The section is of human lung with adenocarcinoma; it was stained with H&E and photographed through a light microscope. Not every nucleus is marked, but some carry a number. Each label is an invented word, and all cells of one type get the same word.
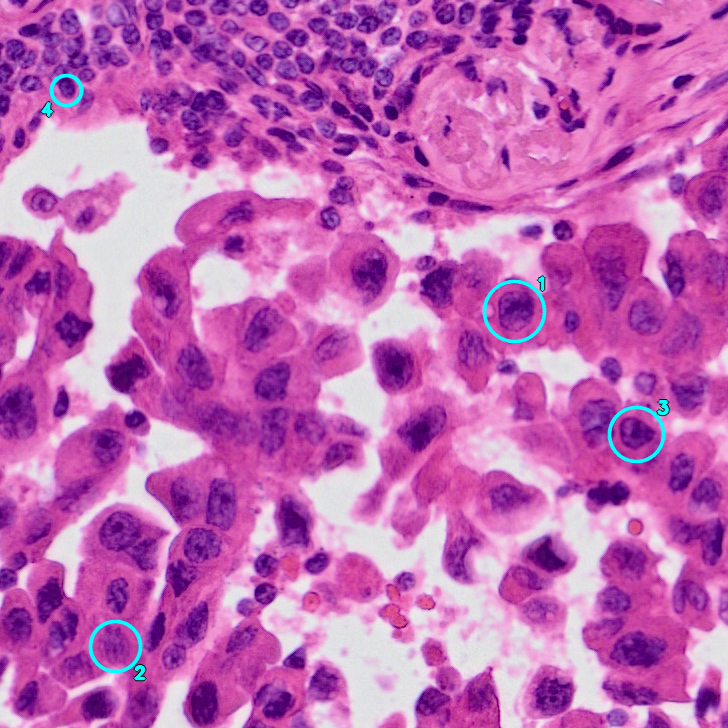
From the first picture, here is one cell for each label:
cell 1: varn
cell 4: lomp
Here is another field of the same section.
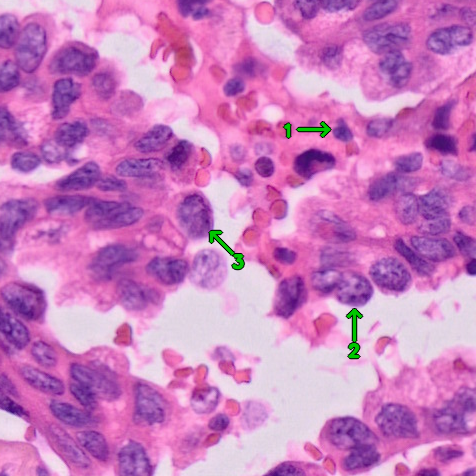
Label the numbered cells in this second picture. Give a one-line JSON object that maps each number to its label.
{"1": "lomp", "2": "varn", "3": "varn"}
